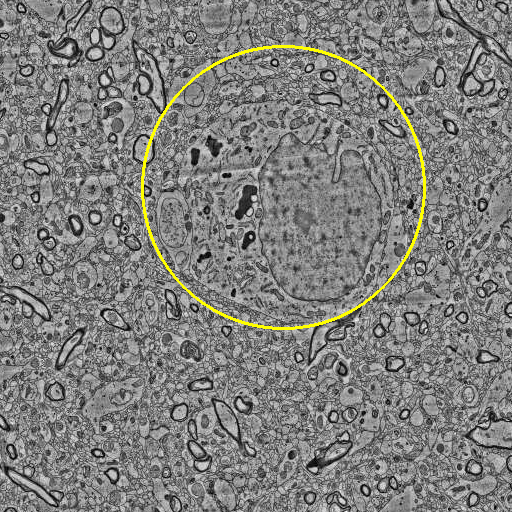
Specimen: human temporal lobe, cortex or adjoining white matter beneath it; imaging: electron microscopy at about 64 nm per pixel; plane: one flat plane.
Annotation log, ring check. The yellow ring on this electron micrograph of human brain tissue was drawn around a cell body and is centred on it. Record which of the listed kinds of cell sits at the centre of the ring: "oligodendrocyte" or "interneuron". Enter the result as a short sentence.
The cell at the centre of the ring is an interneuron.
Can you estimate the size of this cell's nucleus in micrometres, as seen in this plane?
In this plane, roughly 11 by 8 micrometres.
